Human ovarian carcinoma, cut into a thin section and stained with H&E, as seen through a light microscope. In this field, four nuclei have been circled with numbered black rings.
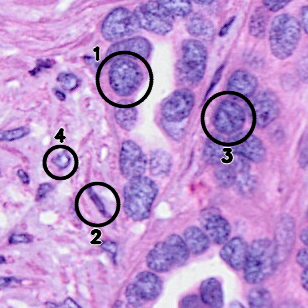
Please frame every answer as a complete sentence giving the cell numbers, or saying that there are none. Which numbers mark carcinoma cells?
The numbers 1 and 3 mark cells that are carcinoma cells.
